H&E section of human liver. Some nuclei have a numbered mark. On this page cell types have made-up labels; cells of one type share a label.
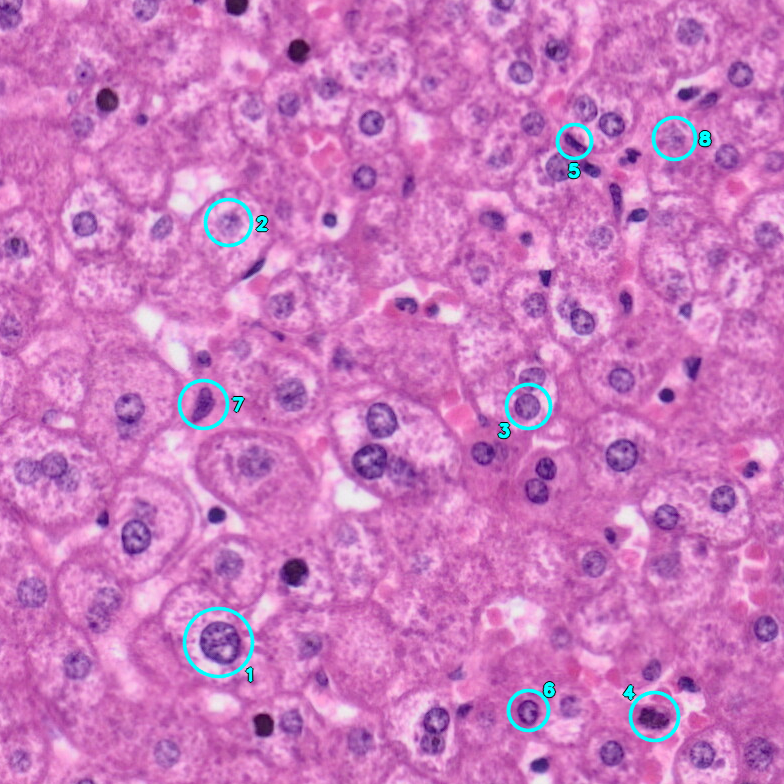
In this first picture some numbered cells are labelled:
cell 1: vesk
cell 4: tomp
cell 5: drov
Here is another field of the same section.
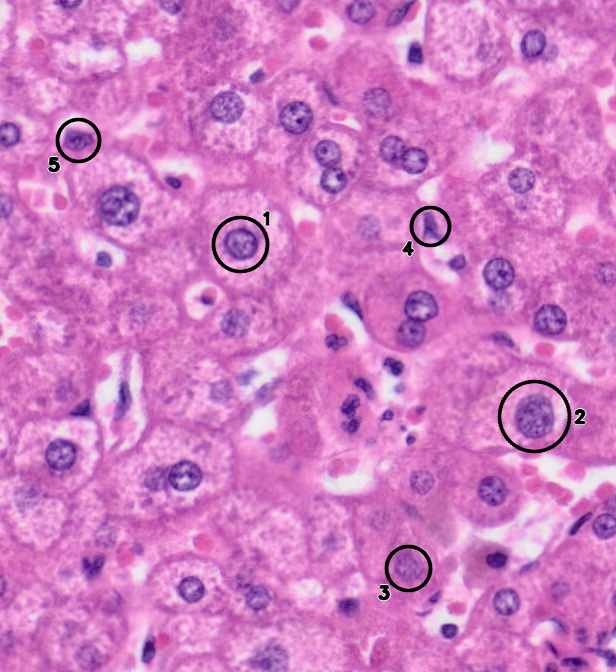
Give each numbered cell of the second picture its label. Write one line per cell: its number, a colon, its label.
1: vesk
2: vesk
3: vesk
4: drov
5: tomp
